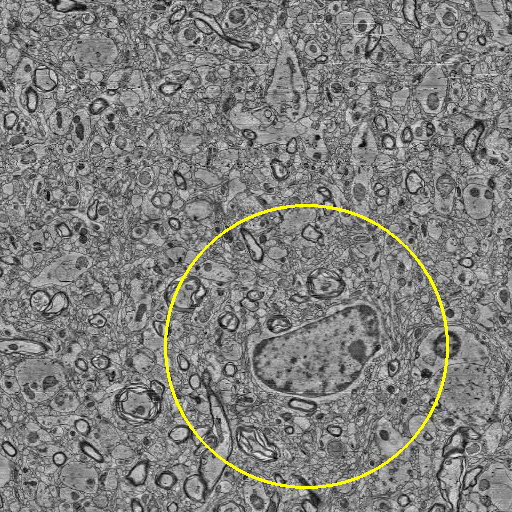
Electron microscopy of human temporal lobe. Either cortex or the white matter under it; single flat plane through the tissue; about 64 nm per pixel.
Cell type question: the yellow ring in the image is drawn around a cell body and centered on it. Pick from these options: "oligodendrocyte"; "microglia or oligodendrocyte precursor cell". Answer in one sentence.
The ringed cell at the center is a microglial cell or oligodendrocyte precursor cell.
